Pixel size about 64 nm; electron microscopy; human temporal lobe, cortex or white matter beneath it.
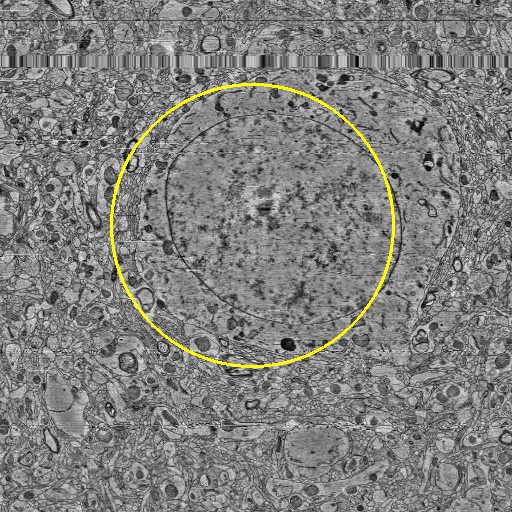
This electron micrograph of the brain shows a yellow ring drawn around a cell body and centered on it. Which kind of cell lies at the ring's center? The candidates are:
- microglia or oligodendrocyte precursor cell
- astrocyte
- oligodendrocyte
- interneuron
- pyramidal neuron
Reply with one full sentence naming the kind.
The cell lying at the ring's center in this micrograph is a pyramidal neuron.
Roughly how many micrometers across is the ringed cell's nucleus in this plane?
The nucleus comes to roughly 16 by 13 micrometres in this plane.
